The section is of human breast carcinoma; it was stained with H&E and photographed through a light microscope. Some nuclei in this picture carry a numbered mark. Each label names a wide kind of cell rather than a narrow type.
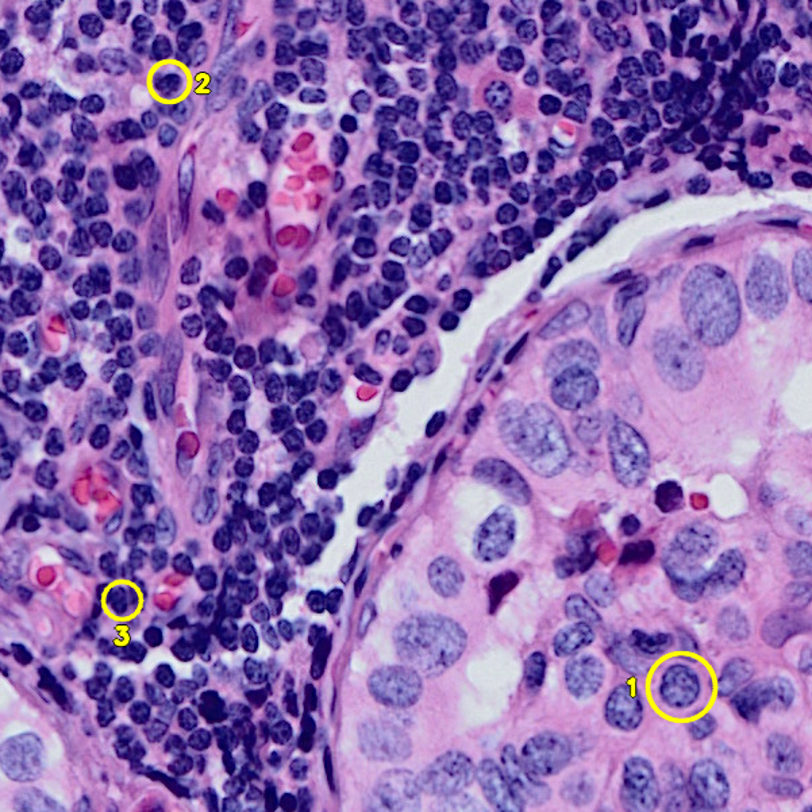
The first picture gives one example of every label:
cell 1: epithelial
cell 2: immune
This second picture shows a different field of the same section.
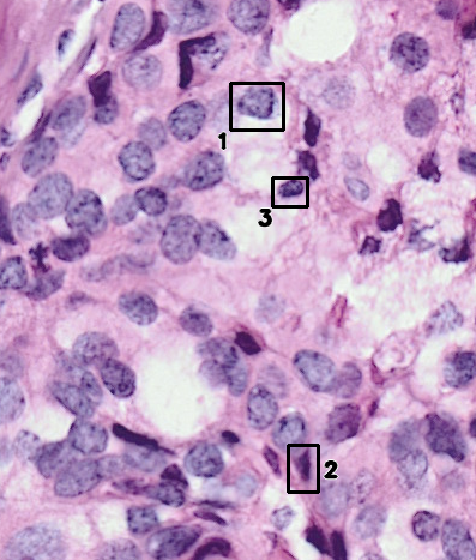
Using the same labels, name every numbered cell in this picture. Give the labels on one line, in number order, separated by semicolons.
epithelial; epithelial; immune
